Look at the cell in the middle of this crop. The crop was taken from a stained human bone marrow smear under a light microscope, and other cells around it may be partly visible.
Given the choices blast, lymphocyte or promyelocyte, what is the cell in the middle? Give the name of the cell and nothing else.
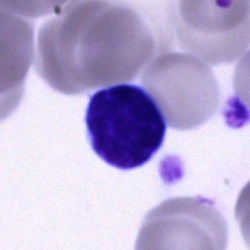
lymphocyte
